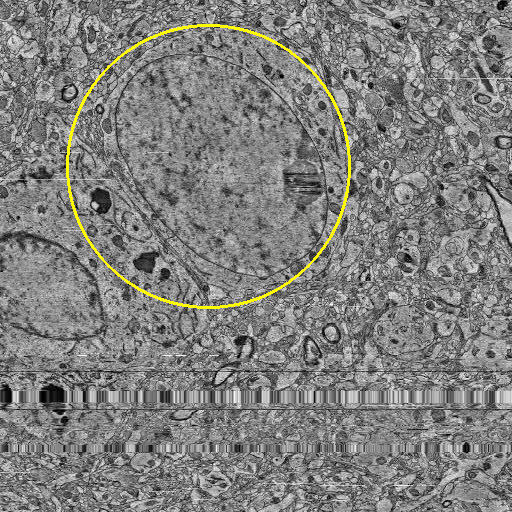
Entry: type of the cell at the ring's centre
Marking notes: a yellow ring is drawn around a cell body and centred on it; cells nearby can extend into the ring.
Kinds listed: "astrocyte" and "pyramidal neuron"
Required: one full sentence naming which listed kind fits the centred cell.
My entry names a pyramidal neuron as the cell whose body the yellow ring centres on.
